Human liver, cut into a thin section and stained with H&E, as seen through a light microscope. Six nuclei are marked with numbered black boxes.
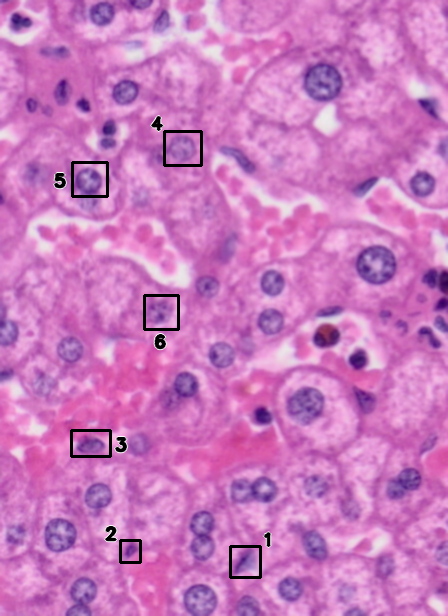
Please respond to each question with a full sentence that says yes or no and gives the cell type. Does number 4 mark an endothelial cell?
No, that is wrong: cell 4 is a hepatocyte, and not an endothelial cell.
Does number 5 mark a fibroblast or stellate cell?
No, cell 5 is identified not as a fibroblast or stellate cell but as a hepatocyte.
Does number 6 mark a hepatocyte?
Yes, the cell that the number 6 labels is a hepatocyte.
